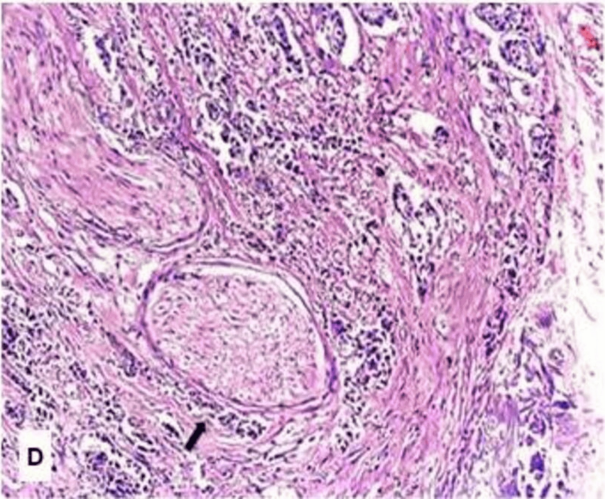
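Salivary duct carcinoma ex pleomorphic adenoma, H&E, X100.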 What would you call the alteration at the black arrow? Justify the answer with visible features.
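Perineural invasion. A rounded bundle of pale pink wavy fibres with a thin sheath lies in the centre. Dark-nucleated tumor cells crowd around the edge of this bundle.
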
